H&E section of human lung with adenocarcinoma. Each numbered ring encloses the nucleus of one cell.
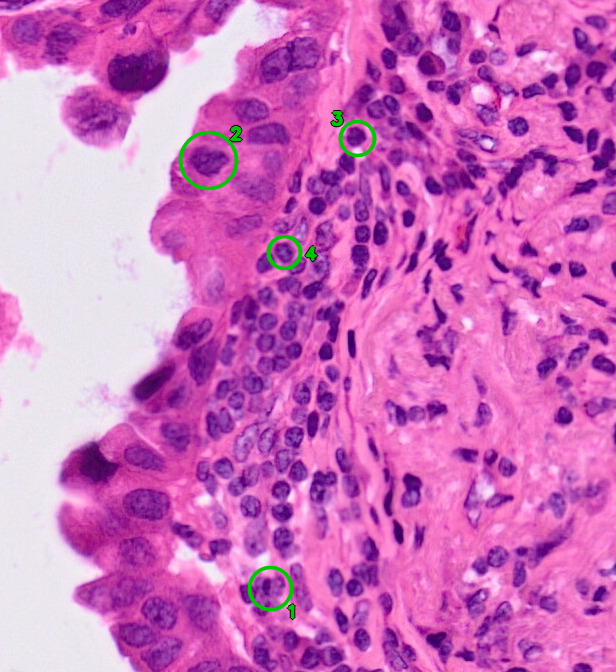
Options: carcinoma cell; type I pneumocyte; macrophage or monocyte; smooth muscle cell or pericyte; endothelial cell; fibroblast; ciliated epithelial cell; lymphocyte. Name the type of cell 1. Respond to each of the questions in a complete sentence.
What the number 1 marks in this field is a lymphocyte.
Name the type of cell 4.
Cell number 4 in this section is a lymphocyte.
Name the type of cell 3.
Identified as a lymphocyte is the cell bearing the number 3.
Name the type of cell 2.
Classified as a carcinoma cell is the cell with the number 2.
